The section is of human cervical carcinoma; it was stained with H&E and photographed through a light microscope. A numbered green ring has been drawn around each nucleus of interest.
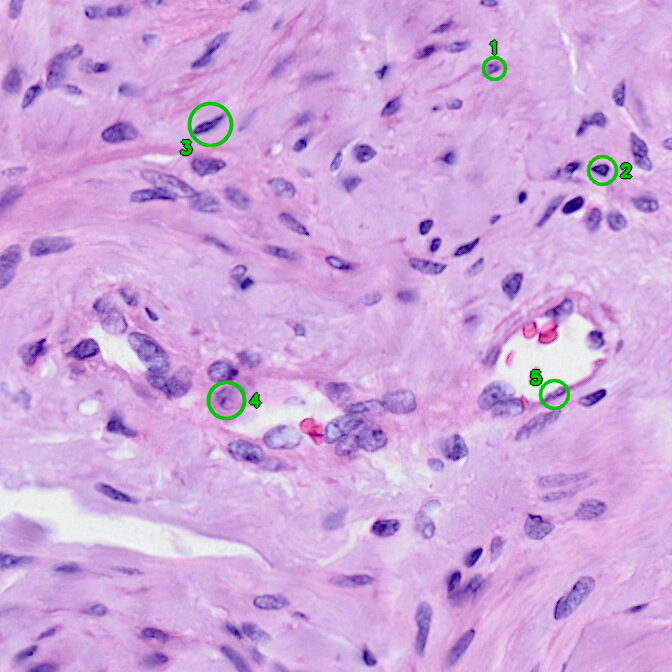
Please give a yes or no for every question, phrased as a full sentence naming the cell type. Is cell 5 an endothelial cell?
Yes, regarding number 5, the cell is an endothelial cell.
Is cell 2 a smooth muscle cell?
No, cell 2 should be classed as a fibroblast, not as a smooth muscle cell.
